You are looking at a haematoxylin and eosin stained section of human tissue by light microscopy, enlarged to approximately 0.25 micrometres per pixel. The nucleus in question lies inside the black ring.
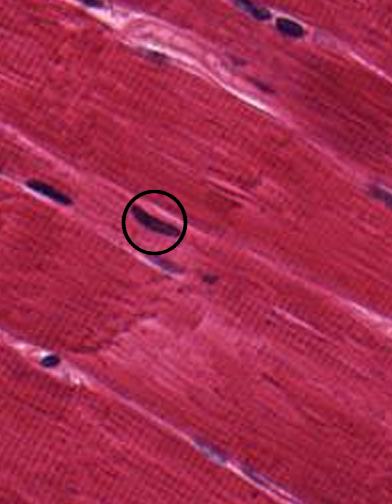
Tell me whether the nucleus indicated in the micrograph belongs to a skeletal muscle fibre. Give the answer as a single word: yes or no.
yes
